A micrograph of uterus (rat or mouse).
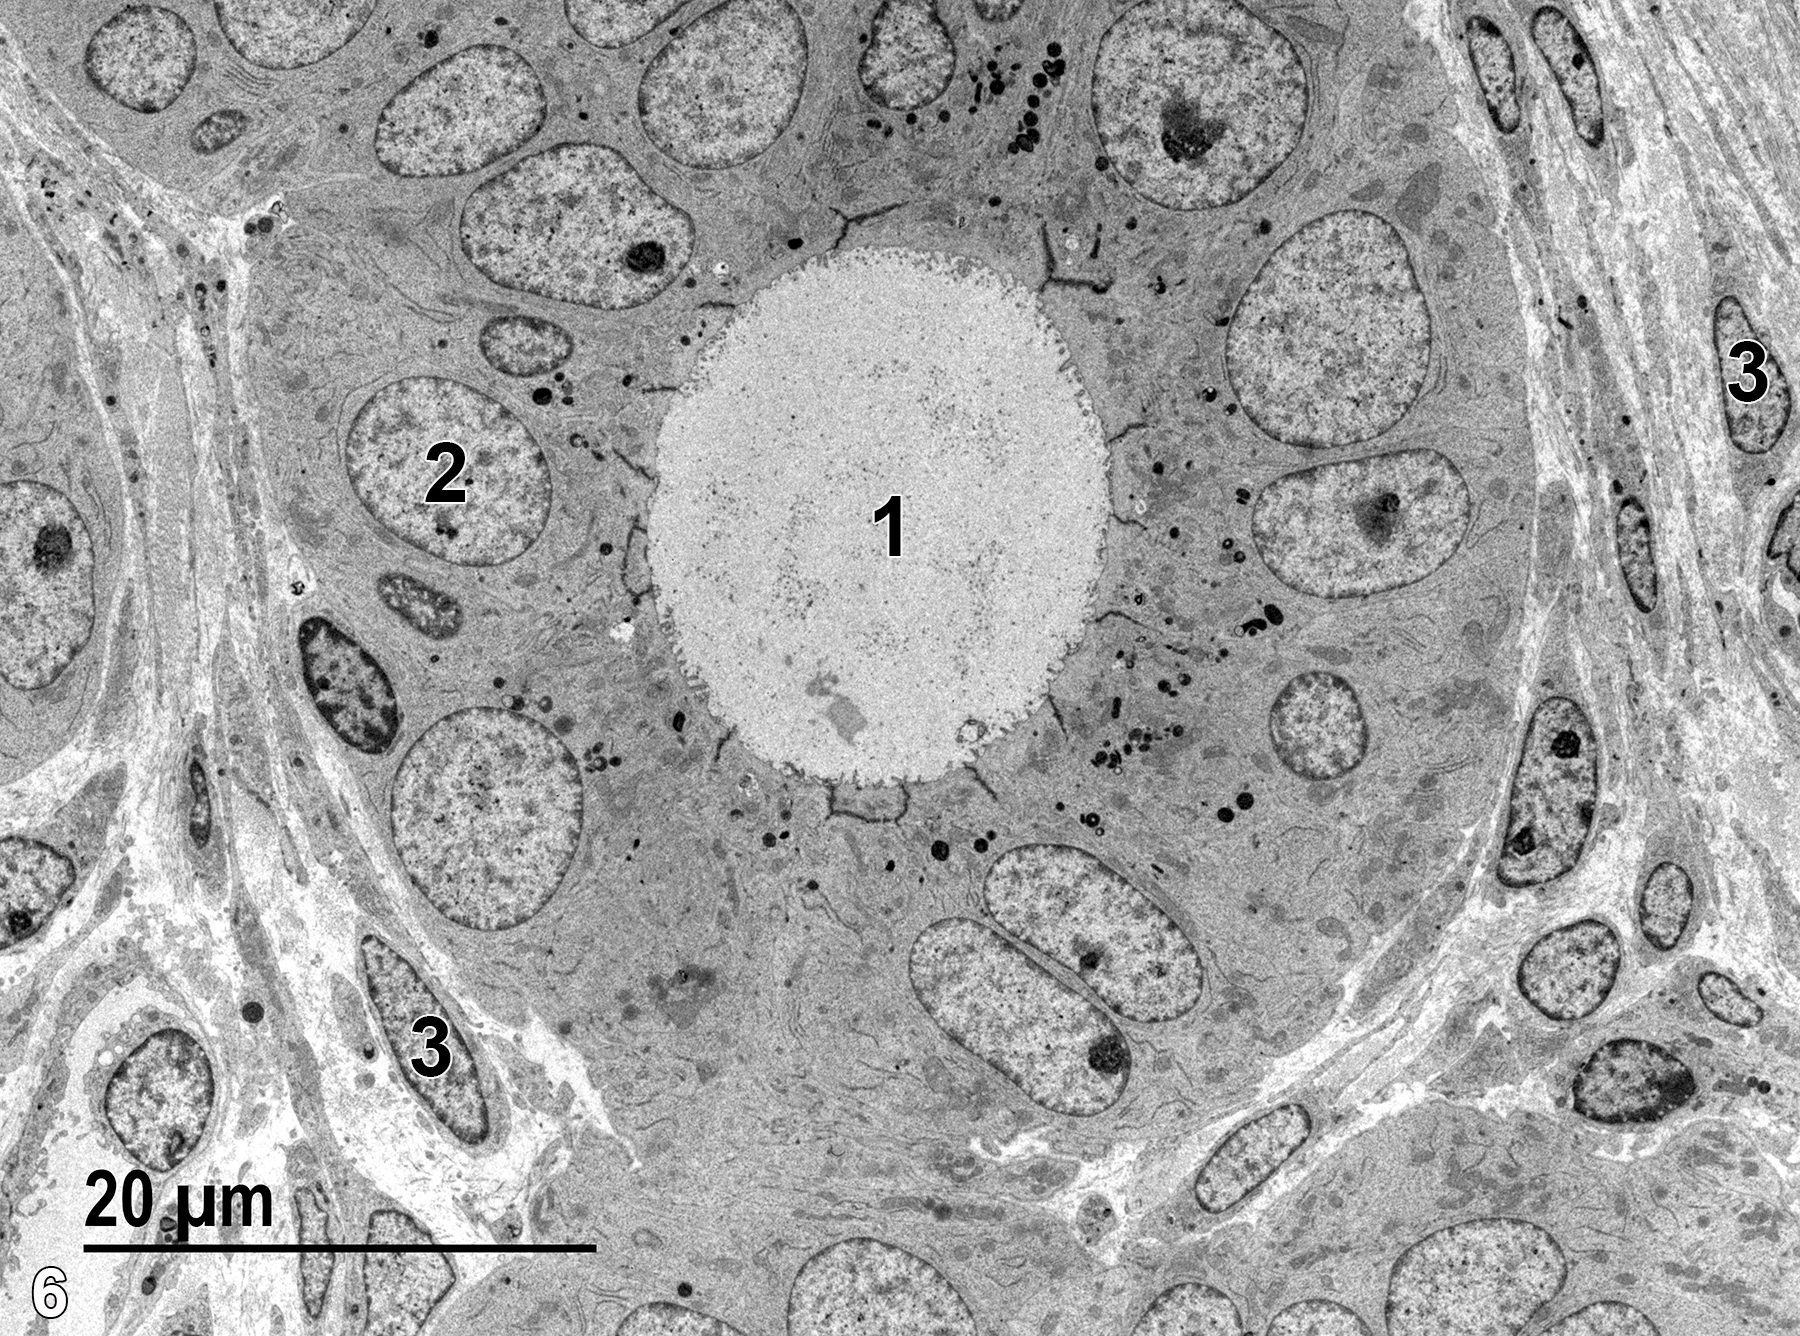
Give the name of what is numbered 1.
glandular lumen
